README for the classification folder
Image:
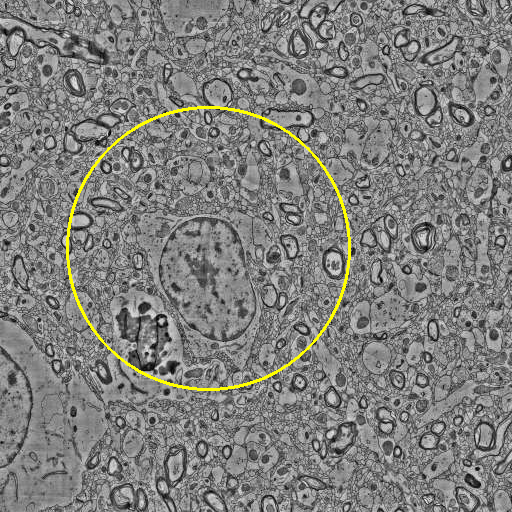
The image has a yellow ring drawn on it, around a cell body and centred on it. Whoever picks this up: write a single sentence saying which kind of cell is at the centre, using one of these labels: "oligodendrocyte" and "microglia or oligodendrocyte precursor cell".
This cell body is that of a microglial cell or oligodendrocyte precursor cell.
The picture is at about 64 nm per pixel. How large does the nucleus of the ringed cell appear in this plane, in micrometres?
About 8 micrometres by about 6 micrometres in this plane.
